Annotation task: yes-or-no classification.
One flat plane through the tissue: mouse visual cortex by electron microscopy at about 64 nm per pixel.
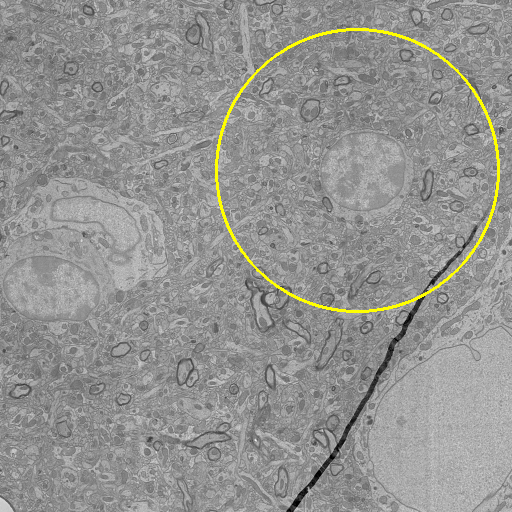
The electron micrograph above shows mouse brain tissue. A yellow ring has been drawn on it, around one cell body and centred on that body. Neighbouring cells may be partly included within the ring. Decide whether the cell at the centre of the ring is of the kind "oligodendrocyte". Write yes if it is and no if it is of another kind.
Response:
yes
